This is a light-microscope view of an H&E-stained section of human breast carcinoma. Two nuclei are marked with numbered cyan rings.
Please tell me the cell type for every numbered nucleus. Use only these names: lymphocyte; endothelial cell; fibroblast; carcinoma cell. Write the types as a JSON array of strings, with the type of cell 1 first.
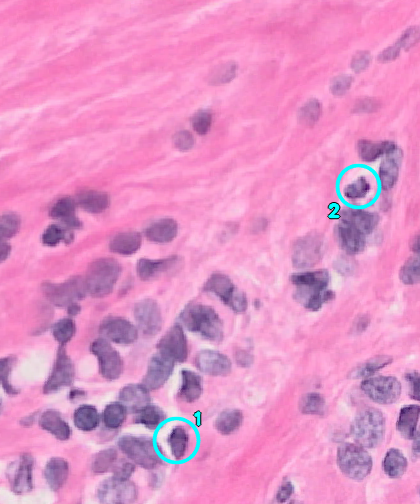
["carcinoma cell", "lymphocyte"]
